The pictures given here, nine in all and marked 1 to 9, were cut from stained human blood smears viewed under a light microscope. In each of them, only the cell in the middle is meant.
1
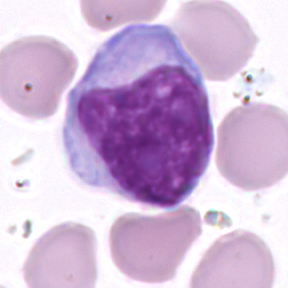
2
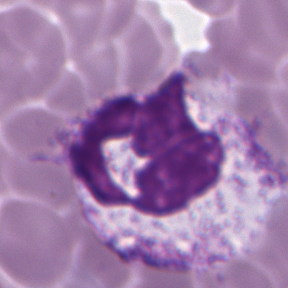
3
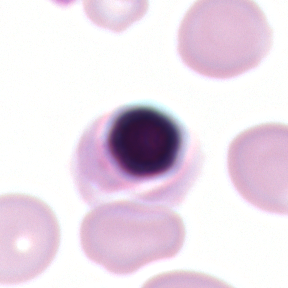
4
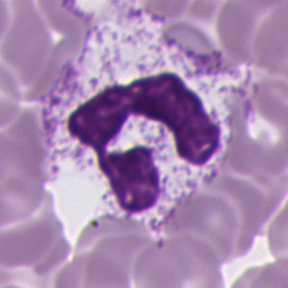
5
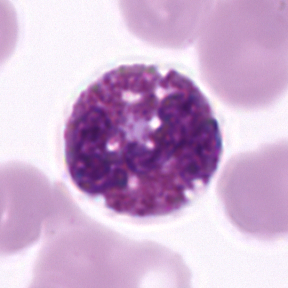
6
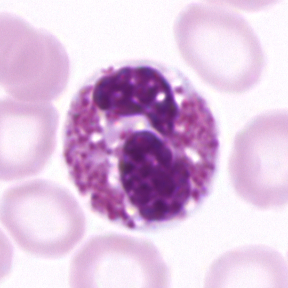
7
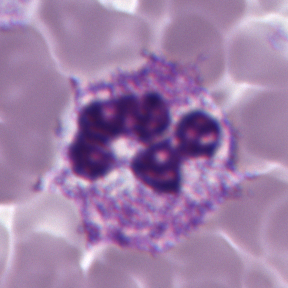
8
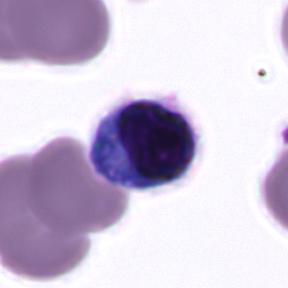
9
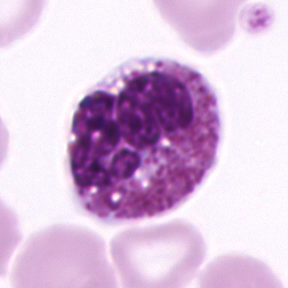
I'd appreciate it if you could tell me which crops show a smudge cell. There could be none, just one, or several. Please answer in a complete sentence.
No, none of these crops shows a smudge cell.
